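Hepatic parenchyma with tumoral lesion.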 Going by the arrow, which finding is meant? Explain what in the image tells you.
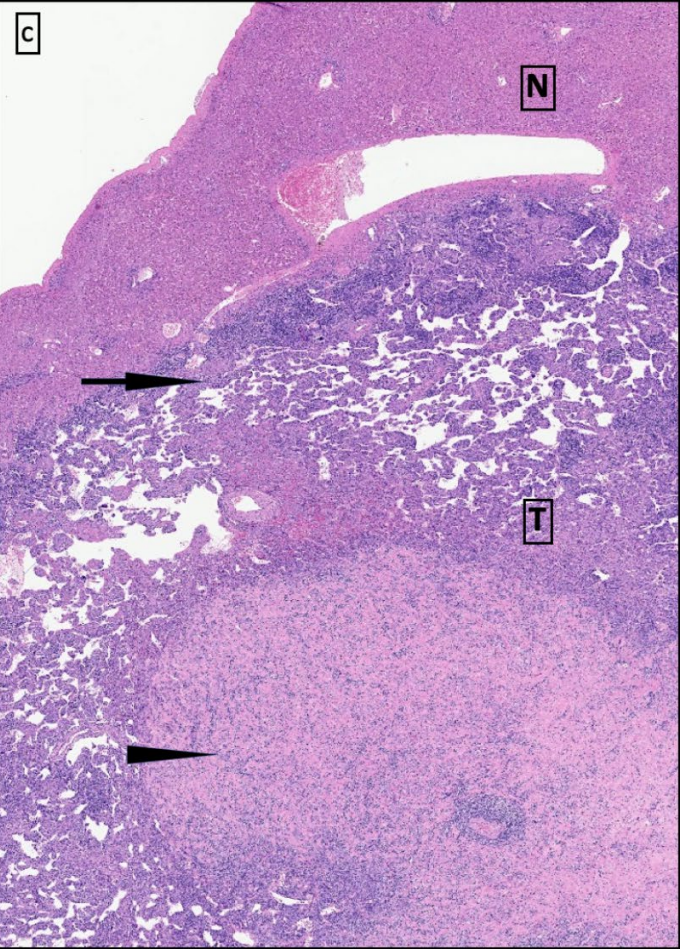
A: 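The hypercellular and vascularized zone. Densely packed purple nuclei in the area at the arrow tip. Numerous open spaces and channels among the cells. This zone lies between the uniform pink tissue above and the pale region below.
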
